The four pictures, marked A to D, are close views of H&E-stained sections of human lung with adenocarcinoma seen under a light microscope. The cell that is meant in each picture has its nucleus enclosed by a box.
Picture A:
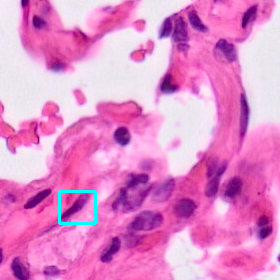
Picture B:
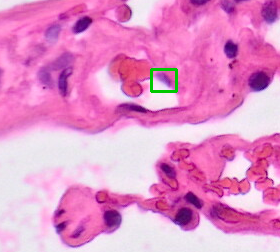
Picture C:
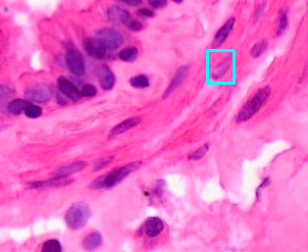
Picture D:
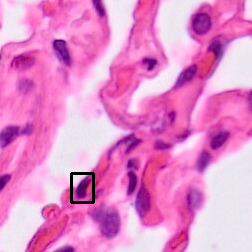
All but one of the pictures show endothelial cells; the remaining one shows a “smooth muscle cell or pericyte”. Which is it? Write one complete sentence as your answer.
The picture with the “smooth muscle cell or pericyte” is C.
